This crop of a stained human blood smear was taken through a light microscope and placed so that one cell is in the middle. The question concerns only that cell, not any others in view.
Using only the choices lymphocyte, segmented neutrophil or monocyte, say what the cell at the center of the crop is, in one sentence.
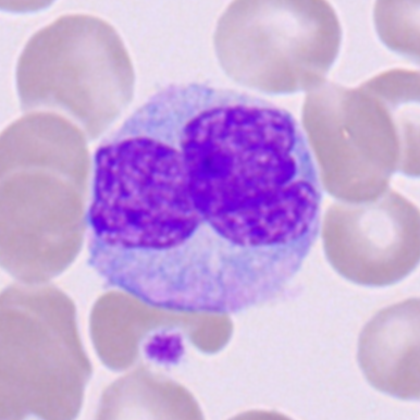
In the centre of this crop there is a monocyte.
